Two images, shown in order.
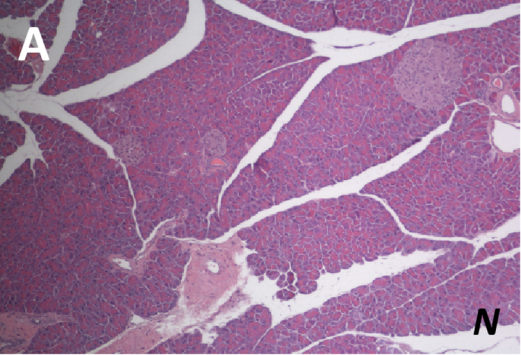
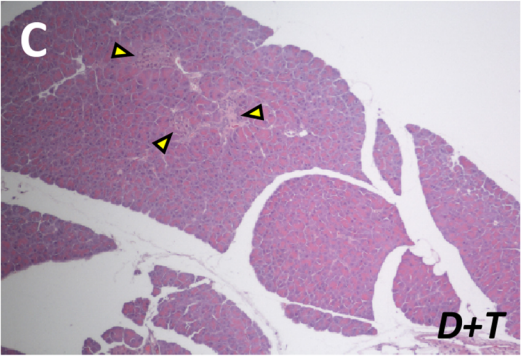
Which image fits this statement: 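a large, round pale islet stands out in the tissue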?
the first image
